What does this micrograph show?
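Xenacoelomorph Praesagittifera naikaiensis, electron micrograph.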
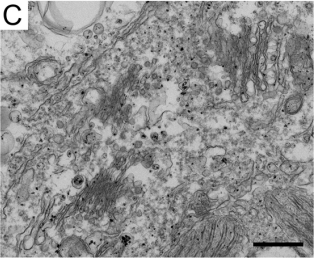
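Several Golgi stacks are clustered together in the cytoplasm of a cell. Each stack consists of parallel, flattened membrane cisternae, some curved, with numerous small vesicles around their rims. The stacks lie close beside one another, and the surrounding cytoplasm is dense with small dark granules.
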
